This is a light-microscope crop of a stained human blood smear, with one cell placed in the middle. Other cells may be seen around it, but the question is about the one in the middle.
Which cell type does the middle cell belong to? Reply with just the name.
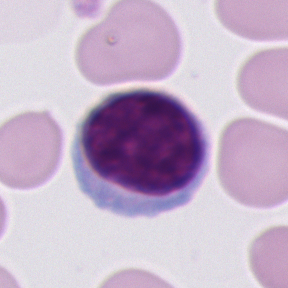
typical lymphocyte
